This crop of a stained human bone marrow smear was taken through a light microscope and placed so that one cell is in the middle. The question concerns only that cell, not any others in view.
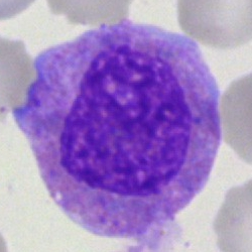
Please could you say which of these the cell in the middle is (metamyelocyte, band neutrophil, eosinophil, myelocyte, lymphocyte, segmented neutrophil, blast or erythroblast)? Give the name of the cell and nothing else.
eosinophil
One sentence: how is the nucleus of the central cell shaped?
If you check the nucleus, you will find one compact mass, round, oval or kidney-shaped.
